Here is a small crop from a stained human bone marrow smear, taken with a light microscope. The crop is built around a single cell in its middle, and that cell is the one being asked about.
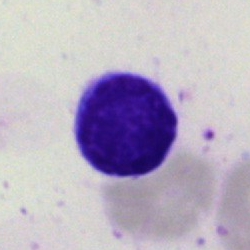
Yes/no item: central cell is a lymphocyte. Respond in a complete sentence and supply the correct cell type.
Yes, the cell in the middle of this smear crop is a lymphocyte.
